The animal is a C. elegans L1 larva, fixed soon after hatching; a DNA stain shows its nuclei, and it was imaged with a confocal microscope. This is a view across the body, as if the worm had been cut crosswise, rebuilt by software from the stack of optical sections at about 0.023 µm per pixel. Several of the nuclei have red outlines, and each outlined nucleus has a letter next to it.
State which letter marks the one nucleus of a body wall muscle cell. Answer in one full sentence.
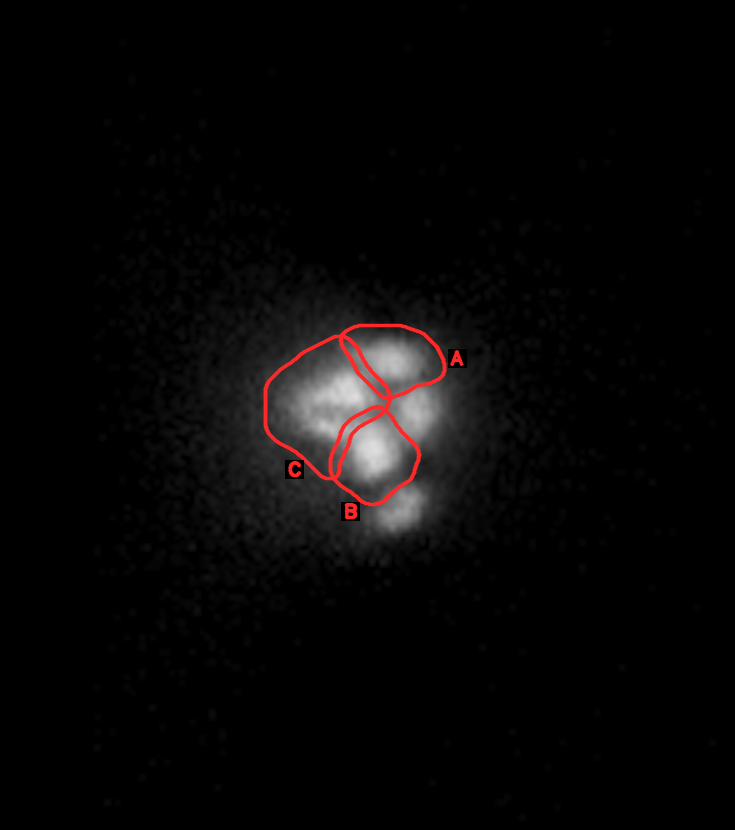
It is A that belongs to a body wall muscle cell.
